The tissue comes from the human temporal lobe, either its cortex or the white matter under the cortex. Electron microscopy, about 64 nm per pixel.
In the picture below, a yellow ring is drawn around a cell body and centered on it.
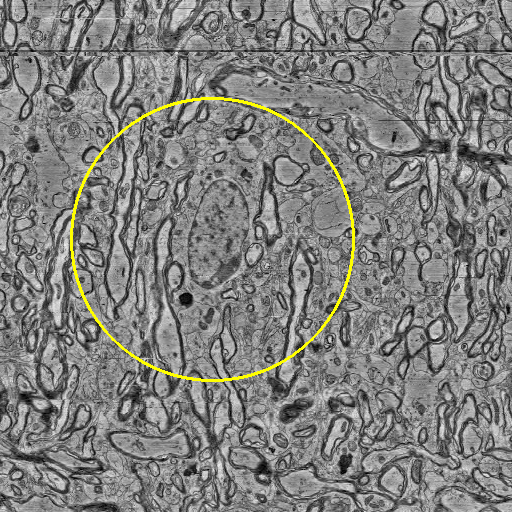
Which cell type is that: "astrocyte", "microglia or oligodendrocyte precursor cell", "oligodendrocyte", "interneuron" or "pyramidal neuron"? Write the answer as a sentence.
The cell centered in the ring is a microglial cell or oligodendrocyte precursor cell.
